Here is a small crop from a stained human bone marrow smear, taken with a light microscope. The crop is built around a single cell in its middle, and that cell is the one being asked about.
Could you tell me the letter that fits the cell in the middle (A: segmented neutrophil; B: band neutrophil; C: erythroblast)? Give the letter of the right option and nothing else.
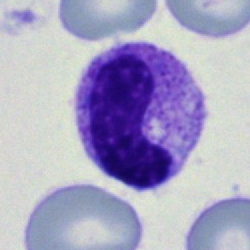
B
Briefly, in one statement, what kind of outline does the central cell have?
Smooth all around, the outline has no projections to report.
